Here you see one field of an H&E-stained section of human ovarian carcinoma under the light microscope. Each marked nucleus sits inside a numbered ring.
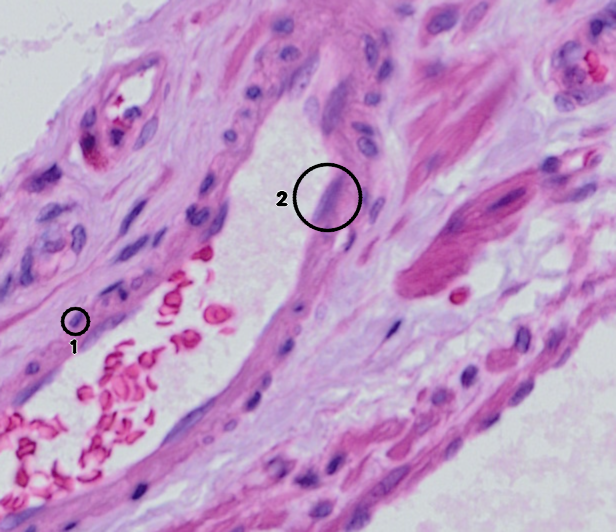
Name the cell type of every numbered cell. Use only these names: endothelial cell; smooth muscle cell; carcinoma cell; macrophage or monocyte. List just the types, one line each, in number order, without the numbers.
smooth muscle cell
endothelial cell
